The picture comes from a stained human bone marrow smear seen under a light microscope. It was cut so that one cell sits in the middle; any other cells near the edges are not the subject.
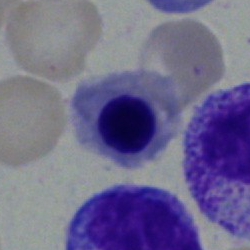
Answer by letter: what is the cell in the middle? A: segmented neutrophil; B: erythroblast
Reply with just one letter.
B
